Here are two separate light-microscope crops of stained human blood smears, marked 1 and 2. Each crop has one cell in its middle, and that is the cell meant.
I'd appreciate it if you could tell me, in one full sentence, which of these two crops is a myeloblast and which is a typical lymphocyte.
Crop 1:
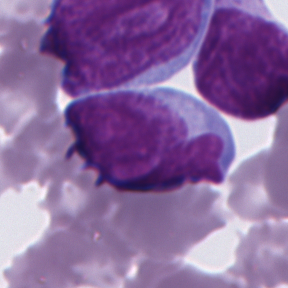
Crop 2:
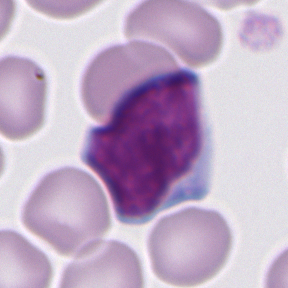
Found in crop 1 is a myeloblast; found in crop 2 is a typical lymphocyte.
